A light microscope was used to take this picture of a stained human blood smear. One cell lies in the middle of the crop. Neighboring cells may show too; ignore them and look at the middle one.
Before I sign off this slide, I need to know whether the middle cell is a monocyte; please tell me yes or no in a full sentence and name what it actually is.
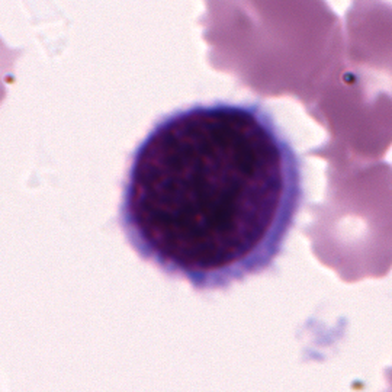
No, the middle cell is classified as a hairy cell and not as a monocyte.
